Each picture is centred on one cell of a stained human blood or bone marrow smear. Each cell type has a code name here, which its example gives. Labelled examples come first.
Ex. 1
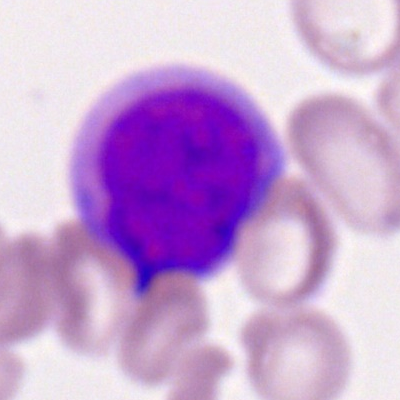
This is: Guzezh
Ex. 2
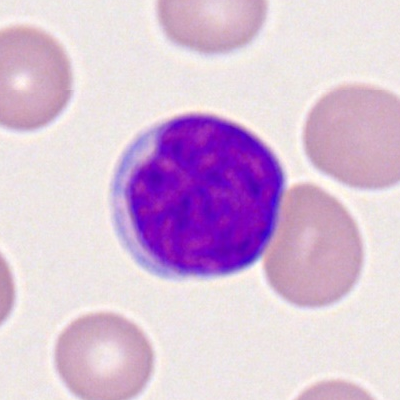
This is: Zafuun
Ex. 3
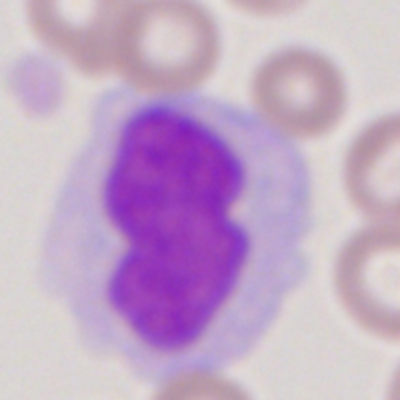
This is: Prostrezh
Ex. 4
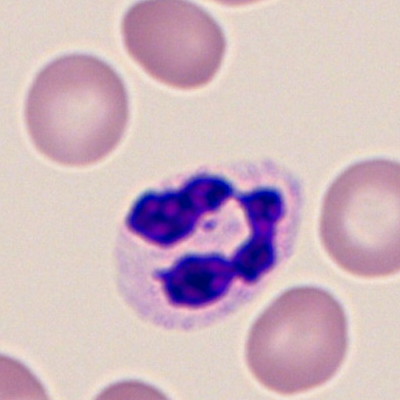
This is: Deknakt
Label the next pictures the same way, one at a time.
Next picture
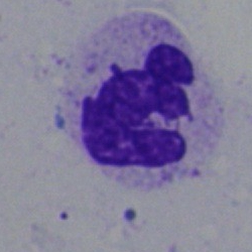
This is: Deknakt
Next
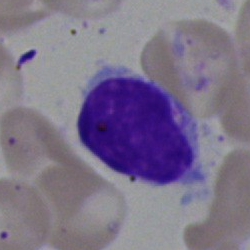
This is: Zafuun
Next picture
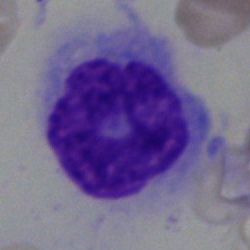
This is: Prostrezh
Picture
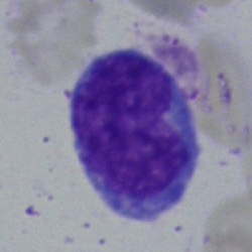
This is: Guzezh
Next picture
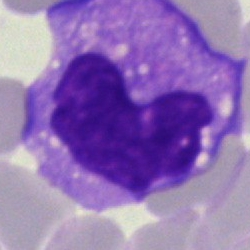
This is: Prostrezh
